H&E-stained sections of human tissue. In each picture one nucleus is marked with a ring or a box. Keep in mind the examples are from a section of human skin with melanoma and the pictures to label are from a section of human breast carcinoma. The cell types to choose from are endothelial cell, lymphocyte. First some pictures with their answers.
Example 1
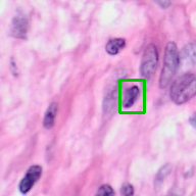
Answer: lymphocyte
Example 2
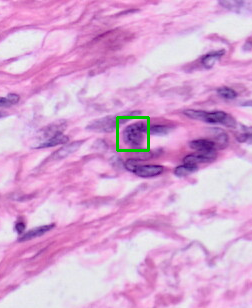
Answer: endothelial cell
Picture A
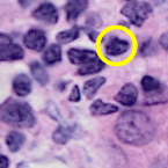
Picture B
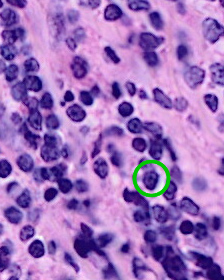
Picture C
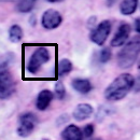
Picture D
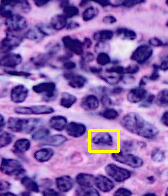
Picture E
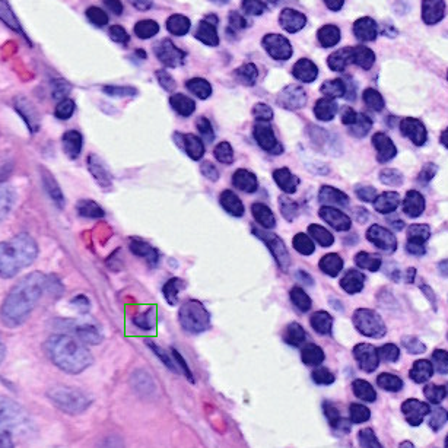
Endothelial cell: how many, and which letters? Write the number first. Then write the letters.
1, namely E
